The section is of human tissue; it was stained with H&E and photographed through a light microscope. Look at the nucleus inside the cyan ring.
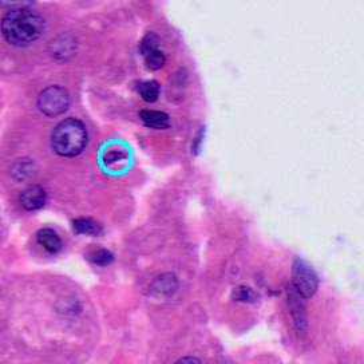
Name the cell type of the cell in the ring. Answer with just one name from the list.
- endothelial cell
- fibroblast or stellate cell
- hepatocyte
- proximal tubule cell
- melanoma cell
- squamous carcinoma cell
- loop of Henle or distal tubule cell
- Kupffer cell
fibroblast or stellate cell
